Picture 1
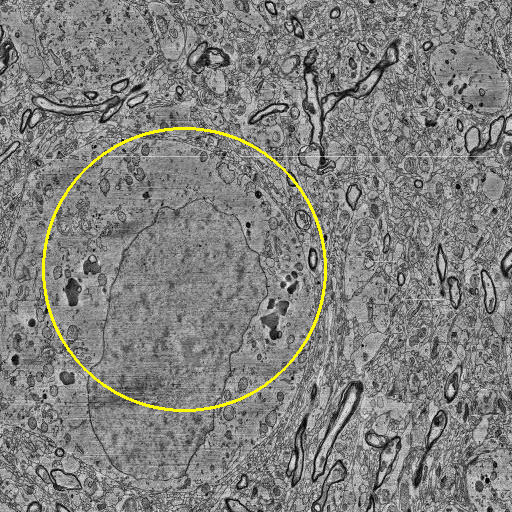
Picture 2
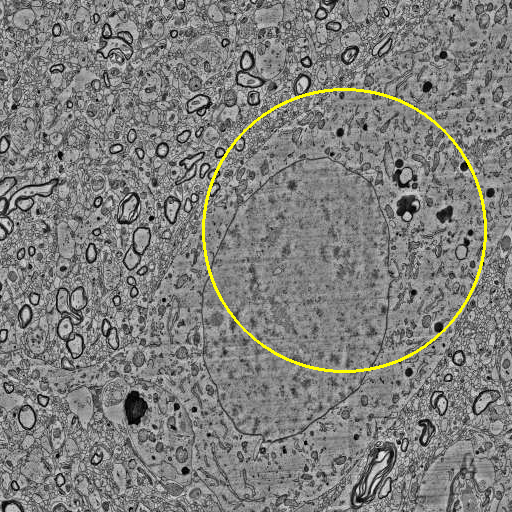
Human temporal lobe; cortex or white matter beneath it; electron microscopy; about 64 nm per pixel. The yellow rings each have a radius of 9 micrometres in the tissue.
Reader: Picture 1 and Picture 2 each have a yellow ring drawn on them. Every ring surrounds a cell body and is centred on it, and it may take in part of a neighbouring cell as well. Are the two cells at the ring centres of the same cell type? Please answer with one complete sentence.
Yes, both cells are of the same cell type.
